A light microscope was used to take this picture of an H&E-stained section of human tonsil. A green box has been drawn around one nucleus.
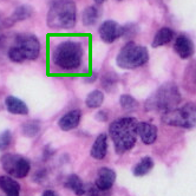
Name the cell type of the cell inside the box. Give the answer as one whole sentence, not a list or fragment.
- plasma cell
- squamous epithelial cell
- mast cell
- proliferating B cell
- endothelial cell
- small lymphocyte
For cell typing purposes, the cell inside the box is a proliferating B cell.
